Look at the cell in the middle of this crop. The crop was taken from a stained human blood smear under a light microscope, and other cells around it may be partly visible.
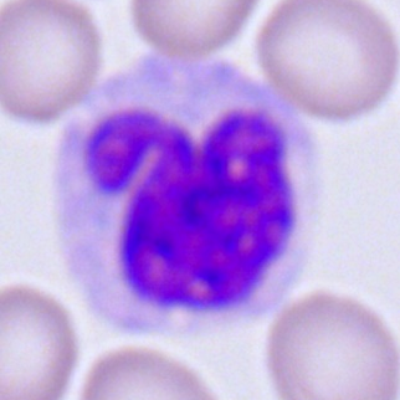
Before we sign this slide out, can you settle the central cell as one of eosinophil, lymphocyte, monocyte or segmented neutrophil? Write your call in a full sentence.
As for the cell in the middle, it is a monocyte.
